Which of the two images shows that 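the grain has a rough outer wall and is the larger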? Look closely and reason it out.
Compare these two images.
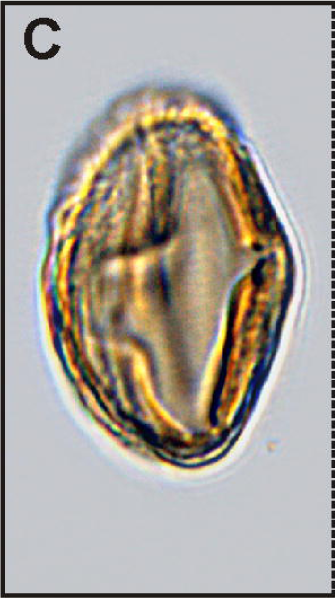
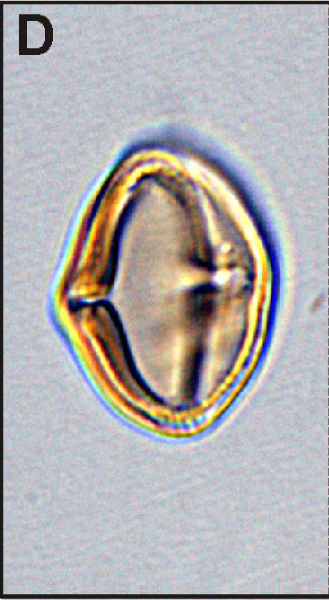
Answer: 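First image: the outer wall outline is uneven and granular. Second image: the outer wall is smooth and even in outline, and the grain is smaller. On this evidence: the first image.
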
